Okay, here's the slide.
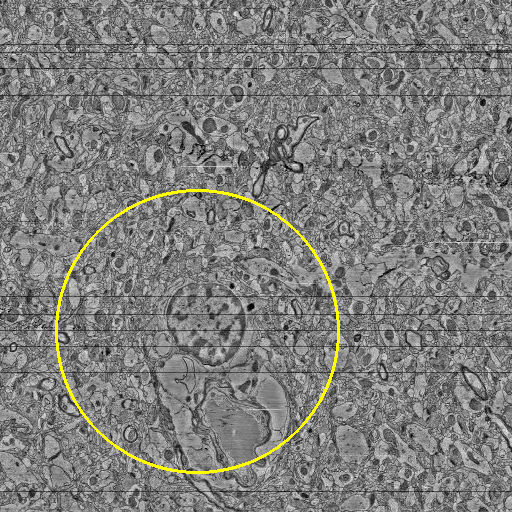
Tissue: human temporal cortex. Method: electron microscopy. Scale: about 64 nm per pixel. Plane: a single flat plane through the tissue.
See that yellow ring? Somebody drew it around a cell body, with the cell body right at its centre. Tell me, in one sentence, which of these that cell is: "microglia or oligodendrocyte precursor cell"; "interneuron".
The cell in the middle of the ring is a microglial cell or oligodendrocyte precursor cell.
